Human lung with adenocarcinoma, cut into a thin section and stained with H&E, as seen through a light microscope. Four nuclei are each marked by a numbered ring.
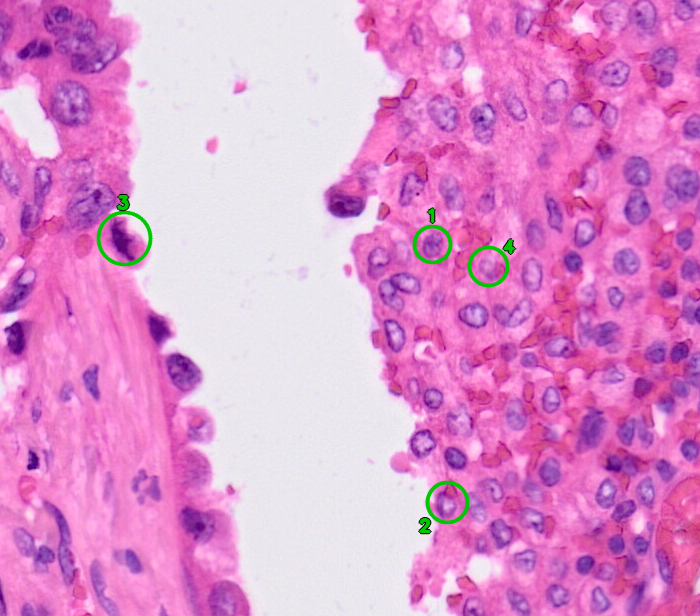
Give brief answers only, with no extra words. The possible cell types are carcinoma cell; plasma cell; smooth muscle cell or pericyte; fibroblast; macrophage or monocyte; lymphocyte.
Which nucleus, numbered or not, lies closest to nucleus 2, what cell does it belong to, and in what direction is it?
a macrophage or monocyte to the right of nucleus 2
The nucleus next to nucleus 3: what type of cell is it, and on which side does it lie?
a carcinoma cell above and to the left of nucleus 3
